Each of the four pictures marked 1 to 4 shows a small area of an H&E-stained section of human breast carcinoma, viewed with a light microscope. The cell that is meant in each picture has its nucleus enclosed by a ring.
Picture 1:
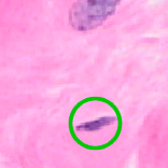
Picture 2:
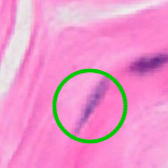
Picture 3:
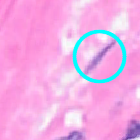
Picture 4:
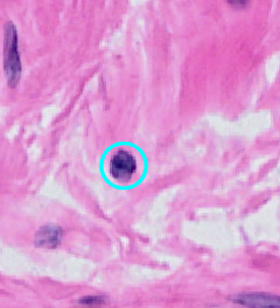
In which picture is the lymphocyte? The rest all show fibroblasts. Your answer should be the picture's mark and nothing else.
4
